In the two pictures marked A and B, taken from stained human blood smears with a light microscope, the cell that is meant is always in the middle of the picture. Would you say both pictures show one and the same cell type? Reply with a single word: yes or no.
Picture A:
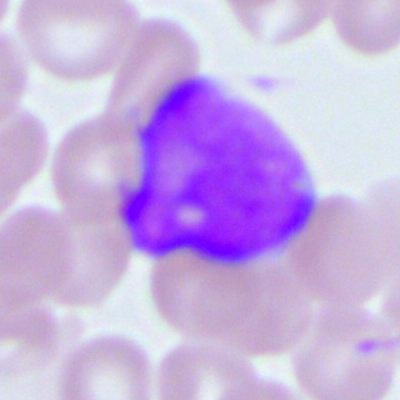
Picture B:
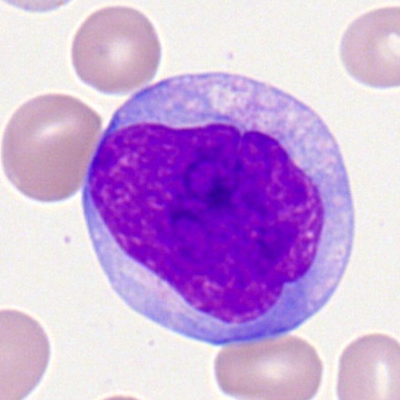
yes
